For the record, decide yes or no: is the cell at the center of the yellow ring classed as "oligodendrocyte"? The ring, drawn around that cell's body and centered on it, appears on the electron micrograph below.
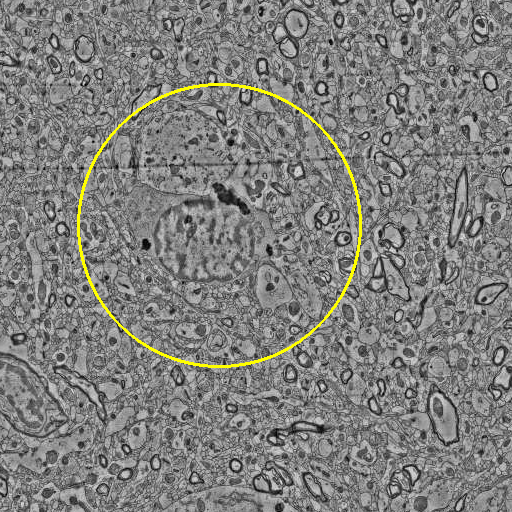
yes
